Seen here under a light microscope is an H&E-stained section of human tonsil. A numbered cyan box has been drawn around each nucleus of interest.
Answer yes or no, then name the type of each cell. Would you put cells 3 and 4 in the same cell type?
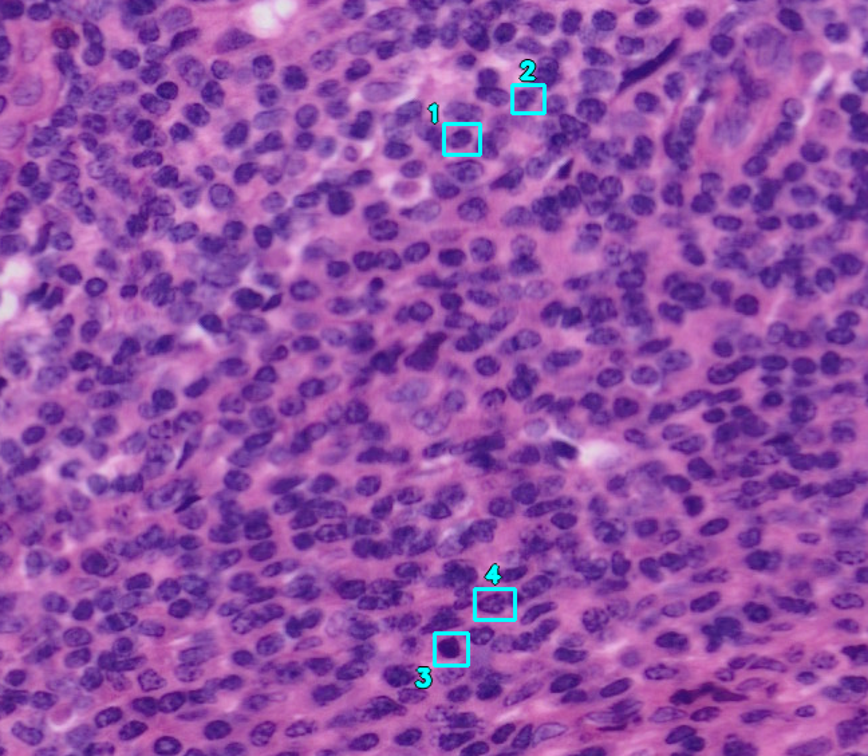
Yes, cells 3 and 4 fall into the same group, both being plasma cells.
